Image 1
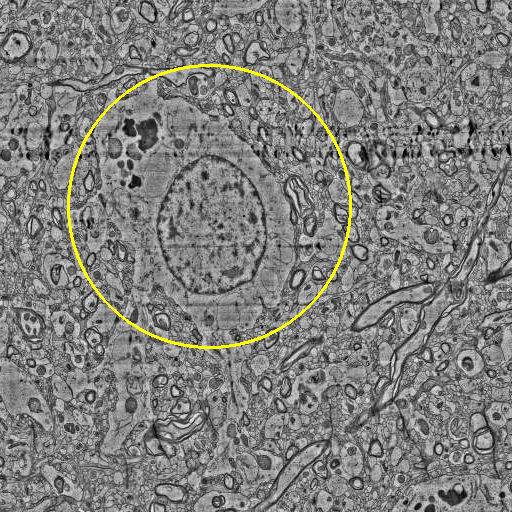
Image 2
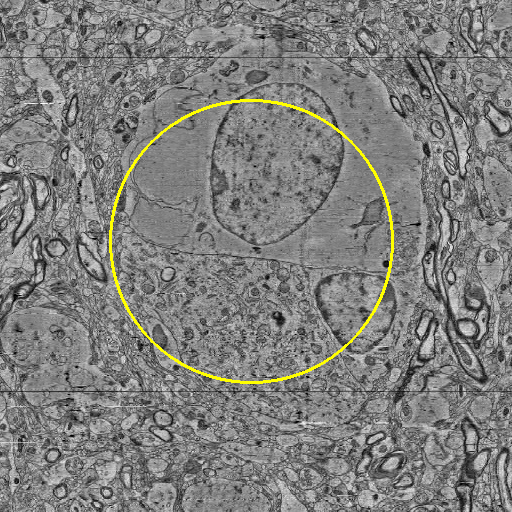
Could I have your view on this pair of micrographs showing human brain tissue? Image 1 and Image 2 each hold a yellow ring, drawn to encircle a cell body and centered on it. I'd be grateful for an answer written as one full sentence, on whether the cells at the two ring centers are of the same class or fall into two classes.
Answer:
The cells at the centers of the two rings are of the same class.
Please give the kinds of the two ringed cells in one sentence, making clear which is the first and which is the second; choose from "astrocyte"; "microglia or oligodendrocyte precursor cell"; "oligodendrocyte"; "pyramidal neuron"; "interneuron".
The cell in the first picture is an astrocyte, and so is the one in the second.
